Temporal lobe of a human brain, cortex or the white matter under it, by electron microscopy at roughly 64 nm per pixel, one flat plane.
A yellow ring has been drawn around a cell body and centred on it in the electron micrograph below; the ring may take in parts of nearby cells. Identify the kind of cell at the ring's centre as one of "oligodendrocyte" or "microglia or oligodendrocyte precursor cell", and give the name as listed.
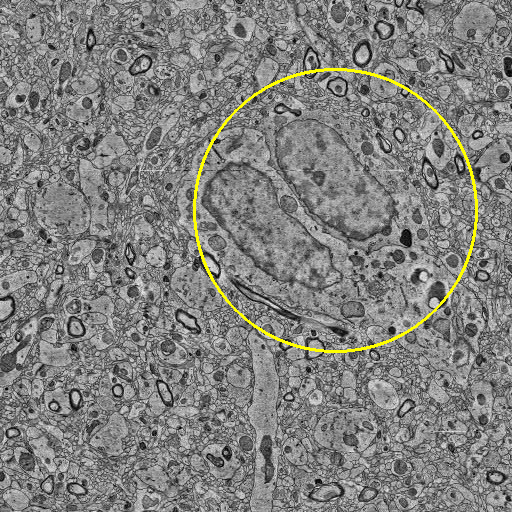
oligodendrocyte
